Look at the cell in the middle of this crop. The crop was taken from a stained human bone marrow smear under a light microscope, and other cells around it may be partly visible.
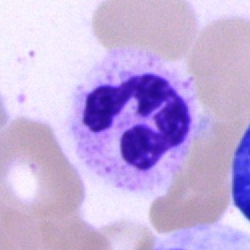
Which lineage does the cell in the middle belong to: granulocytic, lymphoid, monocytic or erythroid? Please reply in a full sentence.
Under the granulocytic lineage falls the cell in the middle of the crop.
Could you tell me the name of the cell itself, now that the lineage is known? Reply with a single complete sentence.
The centrally located cell in the crop is a segmented neutrophil.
